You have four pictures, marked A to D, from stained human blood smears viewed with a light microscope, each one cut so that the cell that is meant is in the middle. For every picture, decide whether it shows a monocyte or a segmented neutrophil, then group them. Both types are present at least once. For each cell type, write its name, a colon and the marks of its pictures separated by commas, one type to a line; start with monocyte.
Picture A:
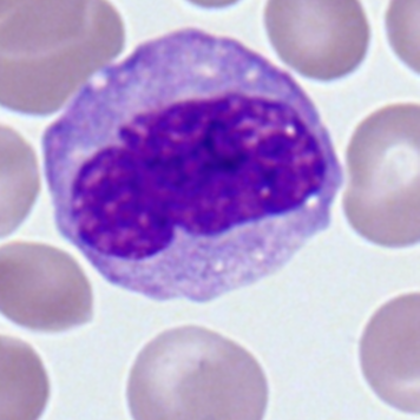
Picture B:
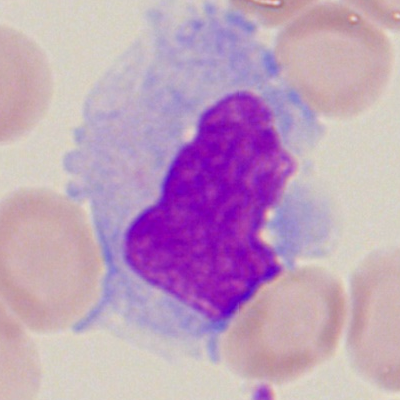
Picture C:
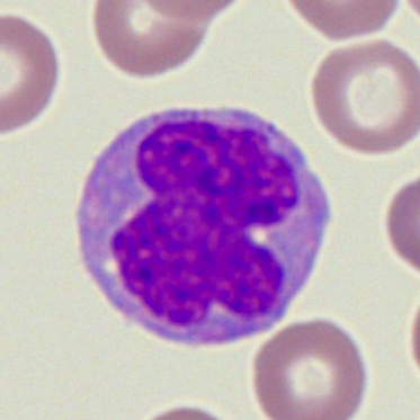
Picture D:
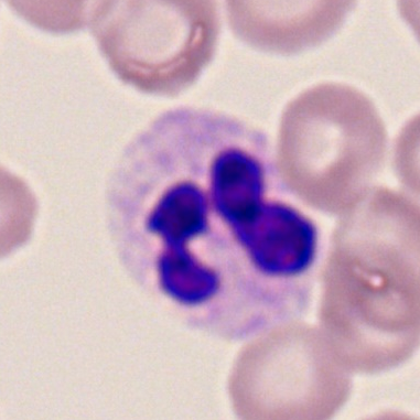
monocyte: A, B, C
segmented neutrophil: D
